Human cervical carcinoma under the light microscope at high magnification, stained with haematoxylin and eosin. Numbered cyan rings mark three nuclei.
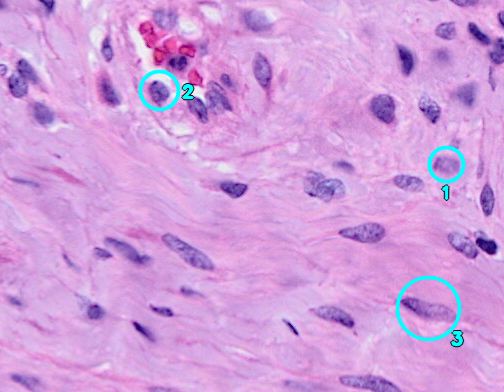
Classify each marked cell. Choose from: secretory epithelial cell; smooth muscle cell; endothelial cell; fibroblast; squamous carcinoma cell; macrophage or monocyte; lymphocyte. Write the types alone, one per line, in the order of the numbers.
fibroblast
endothelial cell
fibroblast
